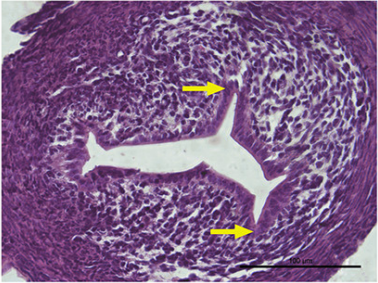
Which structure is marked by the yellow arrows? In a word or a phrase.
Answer: Gland bud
